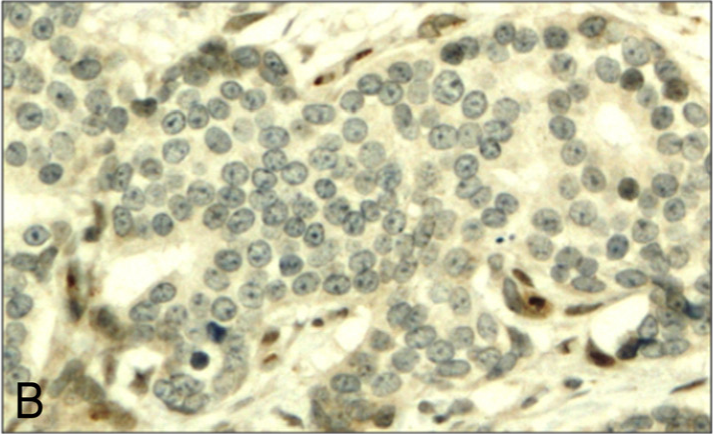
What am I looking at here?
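Nests and cords of carcinoma epithelial cells lie within a pale fibrous stroma. The tumour cells have round to oval, fairly uniform nuclei stained blue-grey, many with a distinct small nucleolus and fine chromatin. A small gland-like lumen is formed by cells at the right of the field. Thin elongated stromal cells run between the nests, and a few of these at the lower right appear brown.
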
